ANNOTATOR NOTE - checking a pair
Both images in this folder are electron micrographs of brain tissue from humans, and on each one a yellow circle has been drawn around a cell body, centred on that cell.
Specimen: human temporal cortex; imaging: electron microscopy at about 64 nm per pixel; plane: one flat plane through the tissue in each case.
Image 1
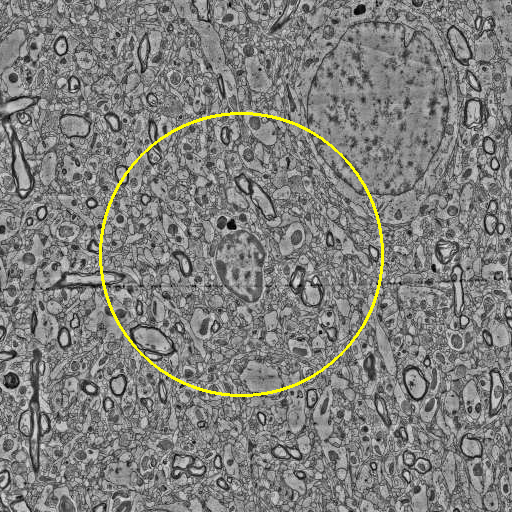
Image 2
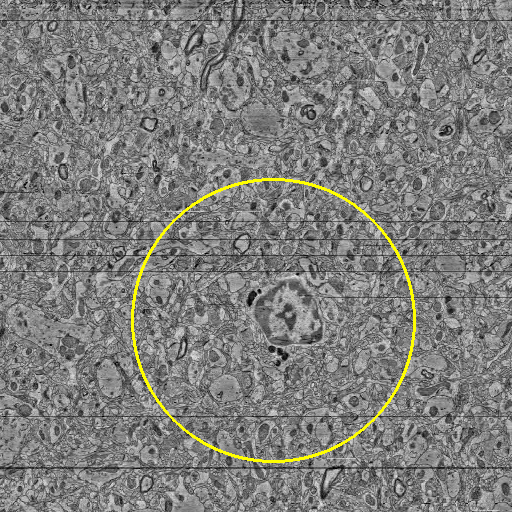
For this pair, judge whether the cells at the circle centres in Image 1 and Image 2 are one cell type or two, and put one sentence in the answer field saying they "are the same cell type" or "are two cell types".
For this pair, the cells at the circle centres in Images 1 and 2 are the same cell type.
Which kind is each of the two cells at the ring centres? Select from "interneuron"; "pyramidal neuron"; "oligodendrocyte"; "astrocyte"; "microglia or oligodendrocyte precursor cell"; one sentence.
The first and the second cell are each a microglial cell or oligodendrocyte precursor cell.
